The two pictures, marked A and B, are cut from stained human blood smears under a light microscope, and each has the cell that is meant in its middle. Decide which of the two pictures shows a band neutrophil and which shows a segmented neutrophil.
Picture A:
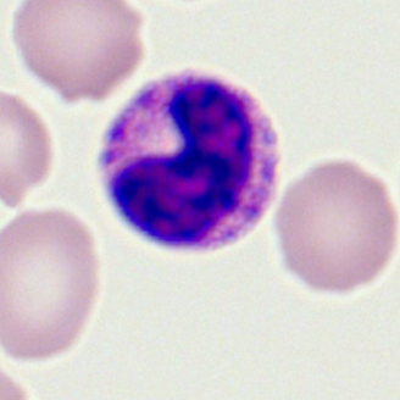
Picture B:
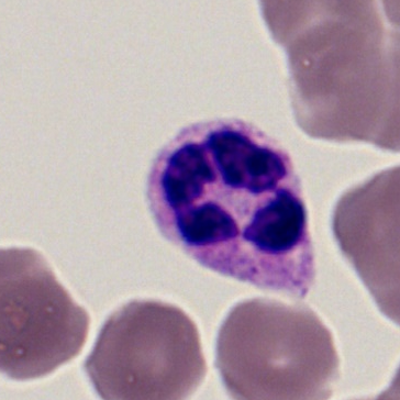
A: band neutrophil
B: segmented neutrophil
